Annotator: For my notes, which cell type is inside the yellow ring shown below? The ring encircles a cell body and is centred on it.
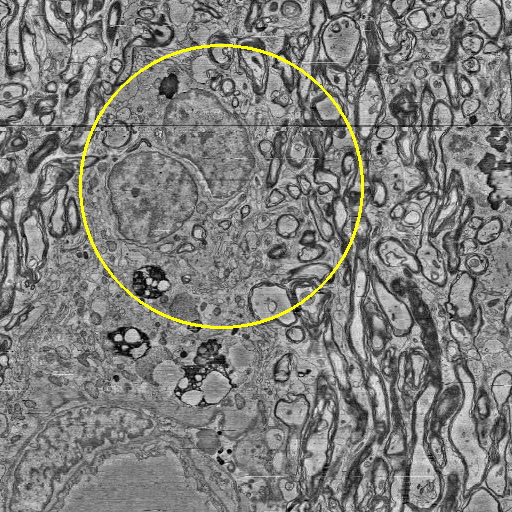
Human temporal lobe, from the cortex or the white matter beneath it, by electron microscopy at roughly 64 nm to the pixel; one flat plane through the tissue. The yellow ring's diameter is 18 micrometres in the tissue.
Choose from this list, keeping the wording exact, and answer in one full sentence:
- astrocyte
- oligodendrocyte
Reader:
At the centre of the yellow ring there is an oligodendrocyte, as shown in the picture.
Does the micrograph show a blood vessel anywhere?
Yes, the picture includes a blood vessel.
